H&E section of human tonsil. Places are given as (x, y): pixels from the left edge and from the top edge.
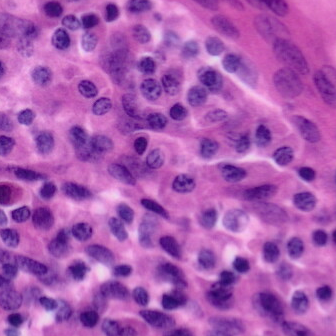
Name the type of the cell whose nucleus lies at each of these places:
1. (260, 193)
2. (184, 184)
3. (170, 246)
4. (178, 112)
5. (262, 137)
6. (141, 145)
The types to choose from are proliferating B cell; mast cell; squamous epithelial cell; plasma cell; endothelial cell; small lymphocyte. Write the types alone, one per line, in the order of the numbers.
squamous epithelial cell
plasma cell
squamous epithelial cell
plasma cell
plasma cell
plasma cell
